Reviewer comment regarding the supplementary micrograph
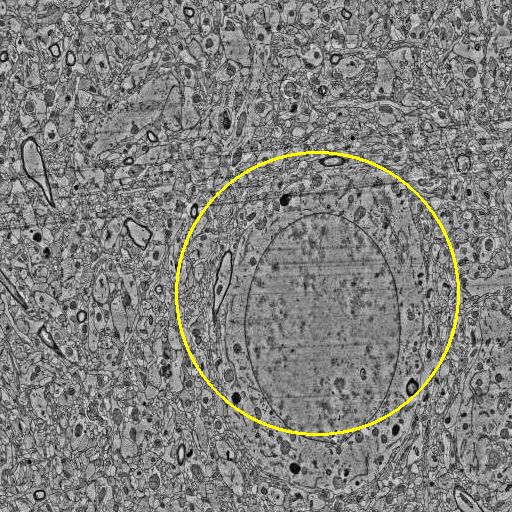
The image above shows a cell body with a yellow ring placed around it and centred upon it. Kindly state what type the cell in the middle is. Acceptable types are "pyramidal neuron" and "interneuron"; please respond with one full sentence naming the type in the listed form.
In the image above, the cell on which the yellow ring is centred is a pyramidal neuron.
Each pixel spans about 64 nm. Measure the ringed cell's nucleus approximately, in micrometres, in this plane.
The nucleus has a long axis of about 15 micrometres and a short axis of about 10 micrometres in this plane.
